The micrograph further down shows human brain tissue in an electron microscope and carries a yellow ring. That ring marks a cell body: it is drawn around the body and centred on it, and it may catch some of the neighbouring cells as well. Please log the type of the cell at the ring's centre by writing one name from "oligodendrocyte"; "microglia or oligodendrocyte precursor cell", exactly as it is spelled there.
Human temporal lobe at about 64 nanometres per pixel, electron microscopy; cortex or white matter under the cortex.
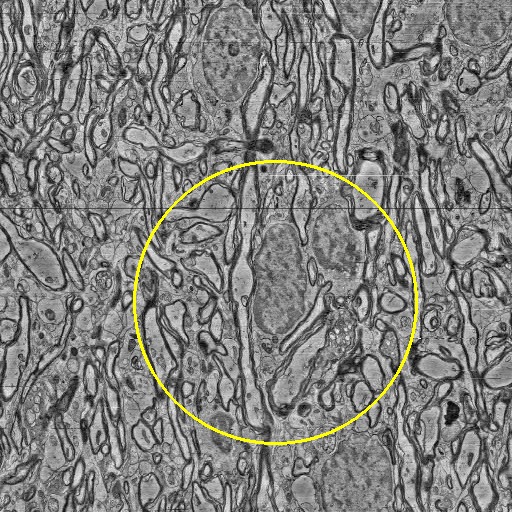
oligodendrocyte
